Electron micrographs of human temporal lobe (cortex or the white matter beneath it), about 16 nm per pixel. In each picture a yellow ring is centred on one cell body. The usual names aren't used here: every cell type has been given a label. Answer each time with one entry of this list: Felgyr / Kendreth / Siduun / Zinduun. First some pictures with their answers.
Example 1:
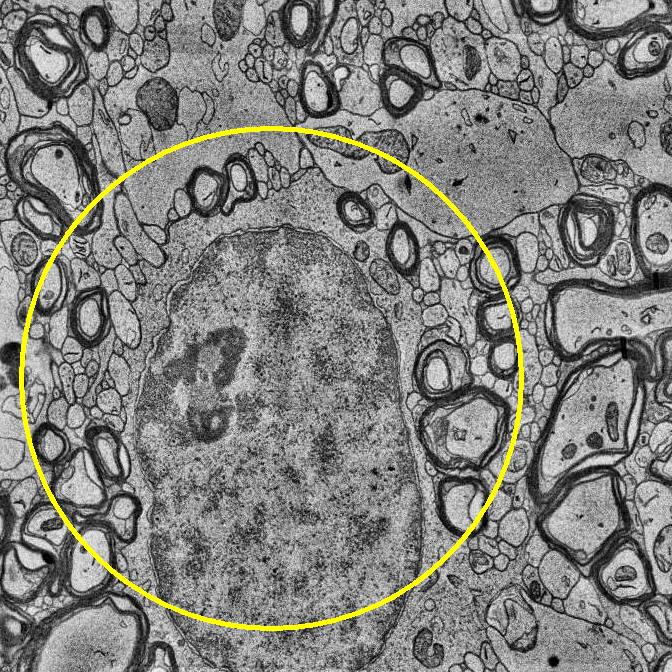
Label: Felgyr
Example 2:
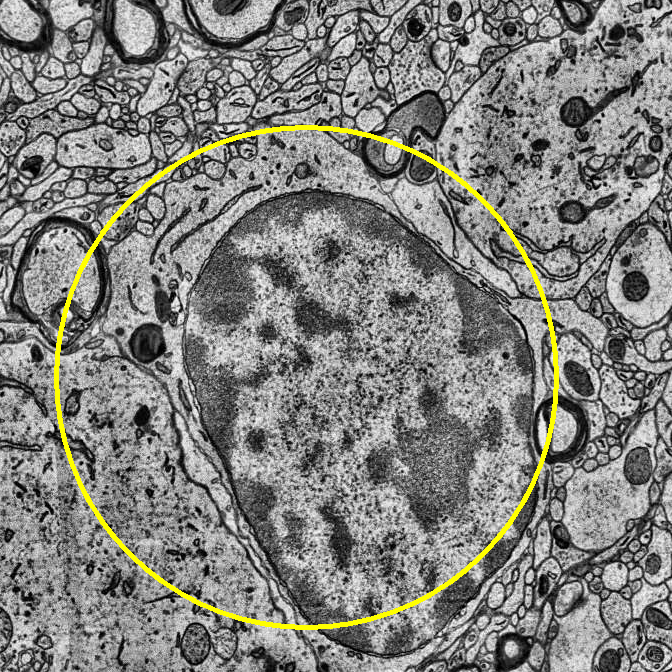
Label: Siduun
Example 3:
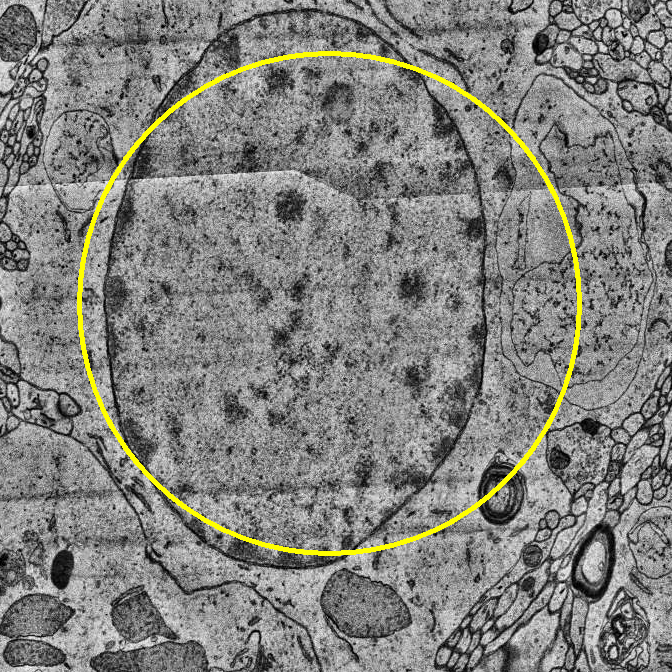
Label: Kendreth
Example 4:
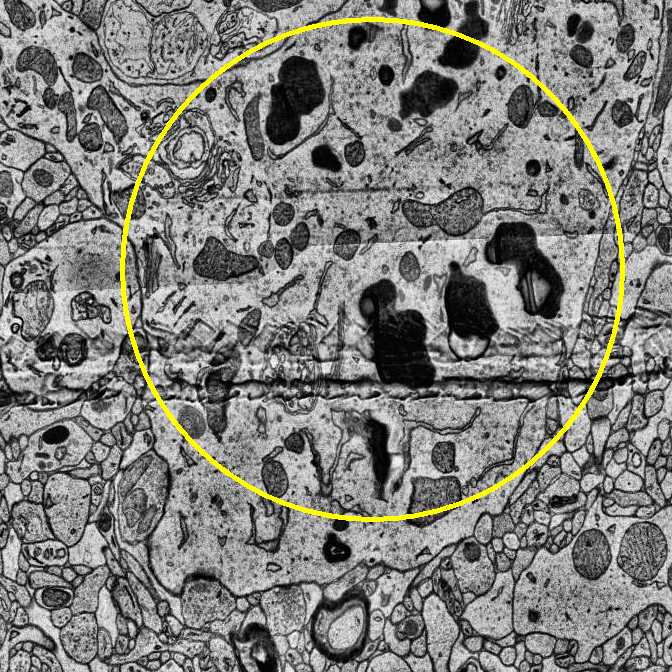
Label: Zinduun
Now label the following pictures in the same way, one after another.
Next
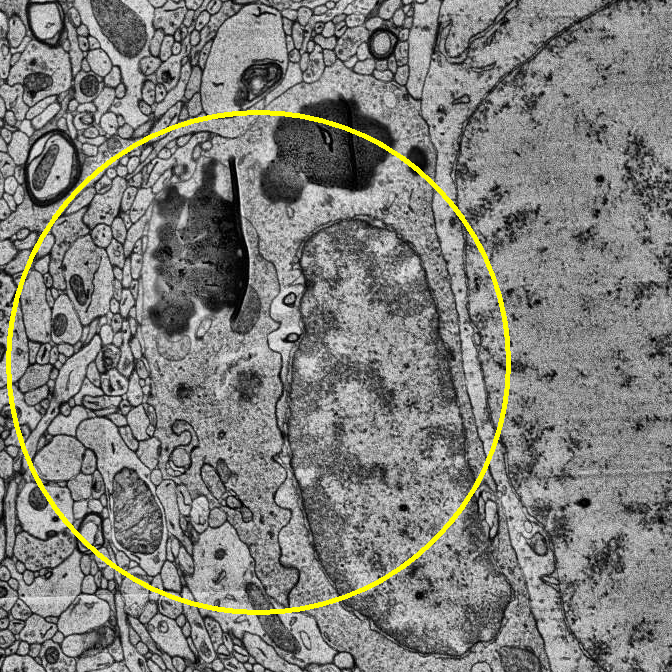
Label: Felgyr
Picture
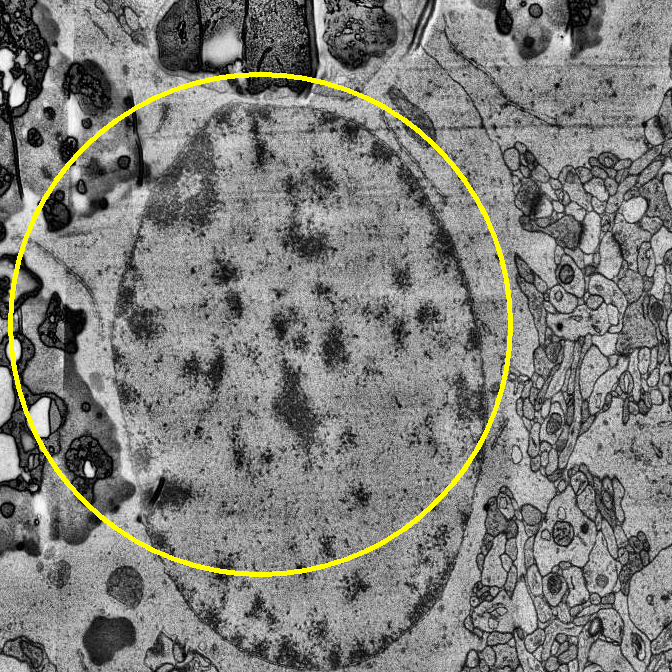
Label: Kendreth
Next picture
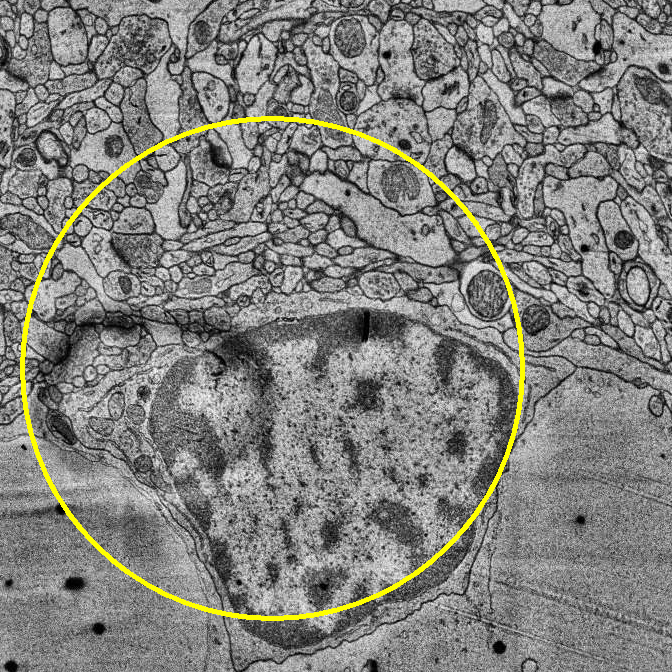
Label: Siduun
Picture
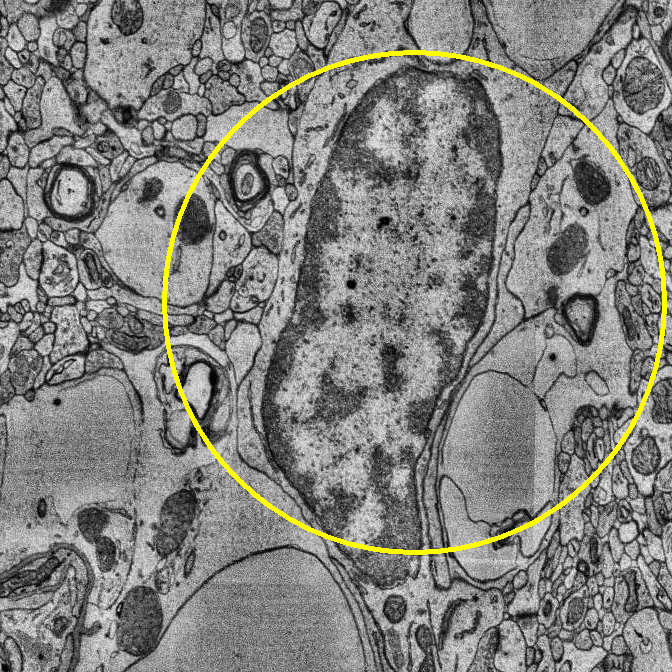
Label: Siduun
